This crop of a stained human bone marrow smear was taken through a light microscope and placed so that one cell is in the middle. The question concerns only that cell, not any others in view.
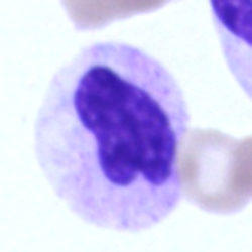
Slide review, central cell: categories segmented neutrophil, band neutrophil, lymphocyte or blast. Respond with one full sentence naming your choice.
Where the crop is centred, there is a band neutrophil.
